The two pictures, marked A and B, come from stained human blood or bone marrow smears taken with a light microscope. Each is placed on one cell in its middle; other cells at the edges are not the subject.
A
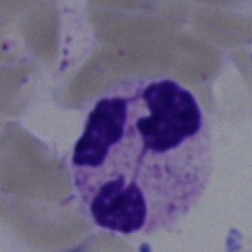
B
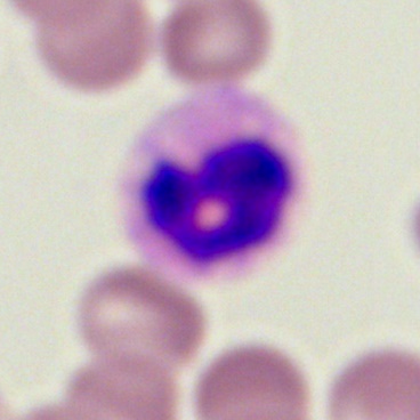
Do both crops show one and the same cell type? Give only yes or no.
yes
